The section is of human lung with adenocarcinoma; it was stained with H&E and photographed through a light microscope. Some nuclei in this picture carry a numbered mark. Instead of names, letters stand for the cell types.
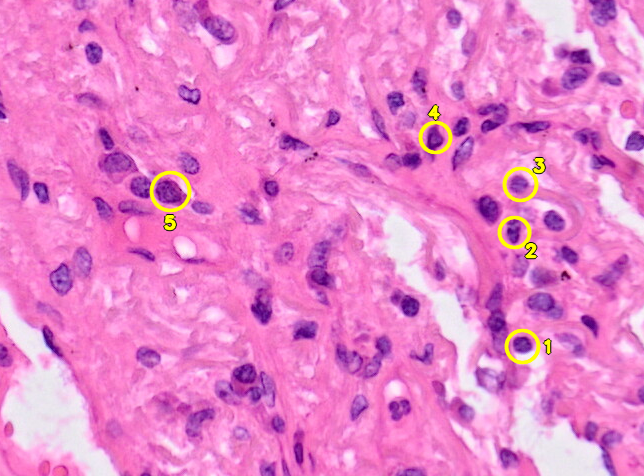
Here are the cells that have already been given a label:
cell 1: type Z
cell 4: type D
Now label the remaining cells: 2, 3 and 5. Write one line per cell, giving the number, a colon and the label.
2: type Z
3: type Z
5: type D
